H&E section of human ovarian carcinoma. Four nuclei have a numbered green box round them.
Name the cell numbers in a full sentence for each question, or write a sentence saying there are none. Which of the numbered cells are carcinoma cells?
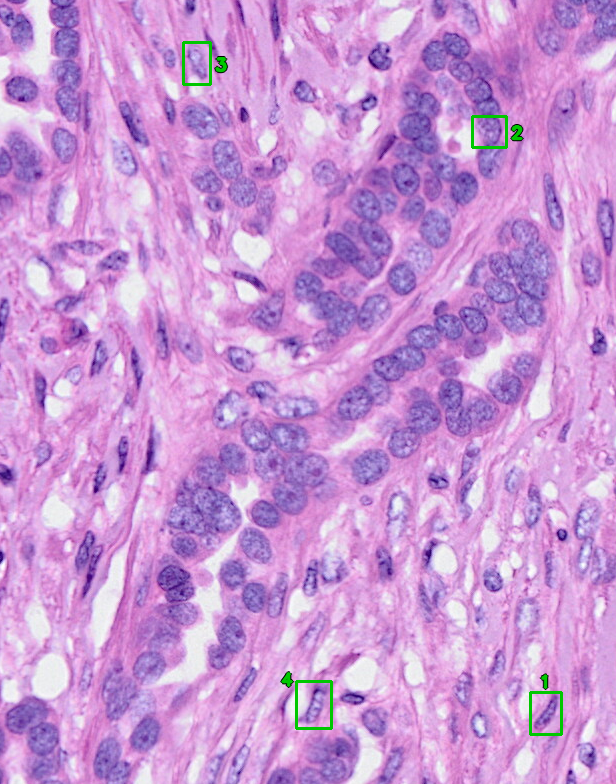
In contrast to the remaining marked cells, cell 2 is a carcinoma cell.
